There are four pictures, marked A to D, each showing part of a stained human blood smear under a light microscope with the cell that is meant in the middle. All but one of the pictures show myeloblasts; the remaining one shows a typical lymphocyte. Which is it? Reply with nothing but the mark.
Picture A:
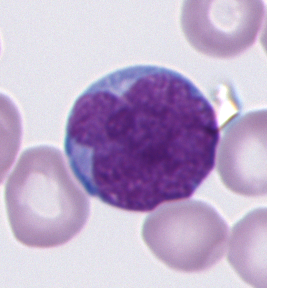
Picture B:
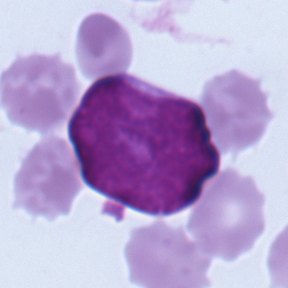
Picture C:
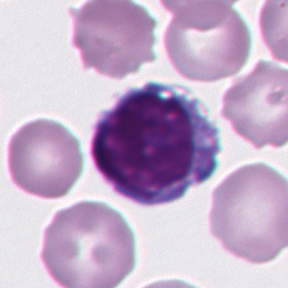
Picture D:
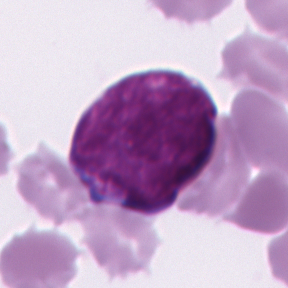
C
